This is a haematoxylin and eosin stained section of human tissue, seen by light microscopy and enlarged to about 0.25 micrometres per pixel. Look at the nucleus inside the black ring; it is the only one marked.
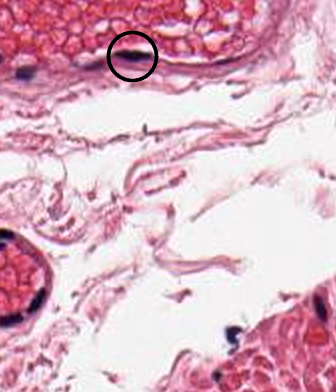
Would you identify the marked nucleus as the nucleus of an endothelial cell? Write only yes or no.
yes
